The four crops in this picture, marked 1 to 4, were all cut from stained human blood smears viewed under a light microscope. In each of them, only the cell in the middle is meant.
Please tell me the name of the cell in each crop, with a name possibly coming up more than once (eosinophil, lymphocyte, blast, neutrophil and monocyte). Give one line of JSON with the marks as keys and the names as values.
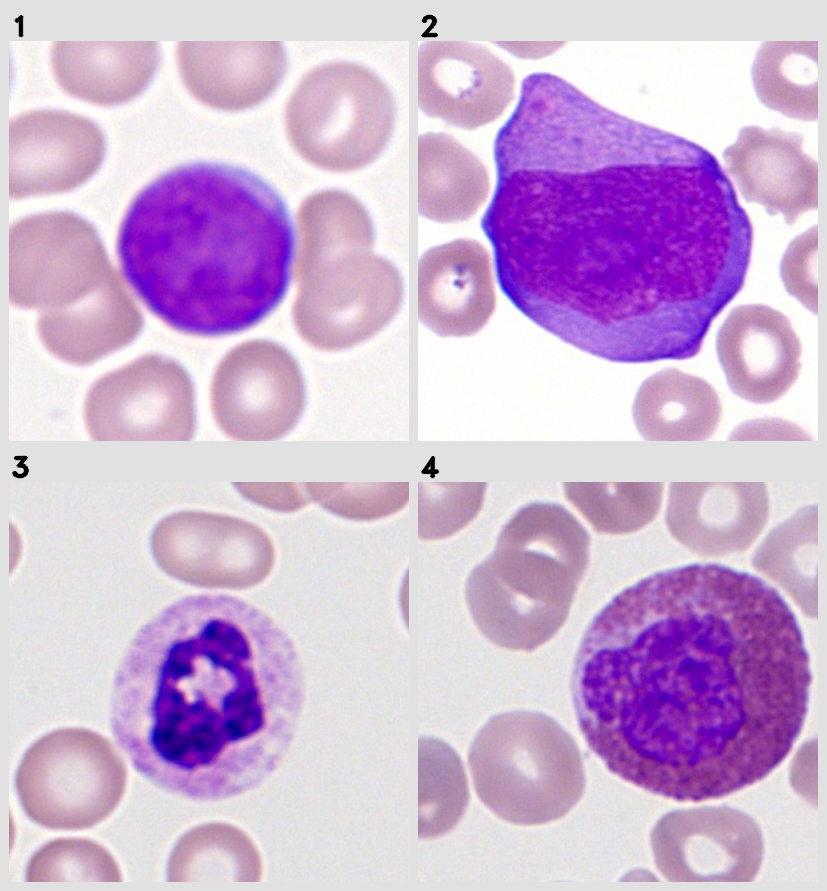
{"1": "blast", "2": "blast", "3": "neutrophil", "4": "eosinophil"}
